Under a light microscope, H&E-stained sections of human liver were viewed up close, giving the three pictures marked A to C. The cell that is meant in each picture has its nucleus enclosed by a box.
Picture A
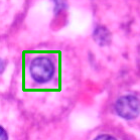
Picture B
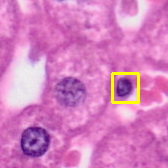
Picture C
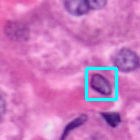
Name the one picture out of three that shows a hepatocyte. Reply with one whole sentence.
The picture with the hepatocyte is A.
